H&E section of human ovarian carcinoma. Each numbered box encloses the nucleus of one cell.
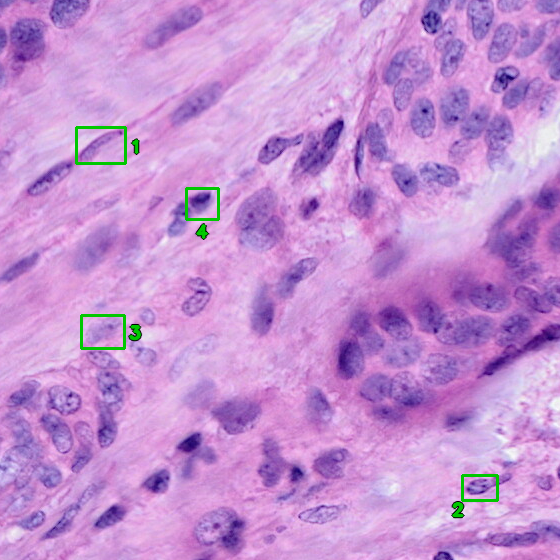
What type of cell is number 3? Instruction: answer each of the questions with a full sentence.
The identity of cell 3 is that of a fibroblast.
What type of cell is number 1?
Cell 1 should be recorded as a fibroblast.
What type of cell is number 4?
Cell number 4 in this section is a lymphocyte.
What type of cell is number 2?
The cell indicated with the number 2 is classed as a macrophage or monocyte.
